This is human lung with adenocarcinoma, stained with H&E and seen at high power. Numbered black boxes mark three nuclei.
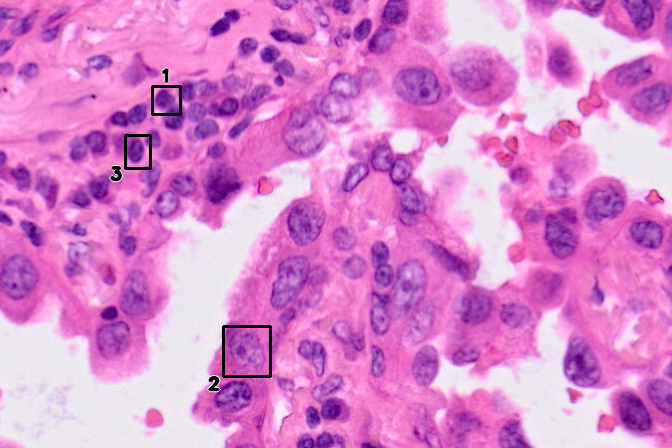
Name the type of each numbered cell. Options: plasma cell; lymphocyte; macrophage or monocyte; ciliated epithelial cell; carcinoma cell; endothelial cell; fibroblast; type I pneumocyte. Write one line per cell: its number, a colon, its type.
1: lymphocyte
2: carcinoma cell
3: lymphocyte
